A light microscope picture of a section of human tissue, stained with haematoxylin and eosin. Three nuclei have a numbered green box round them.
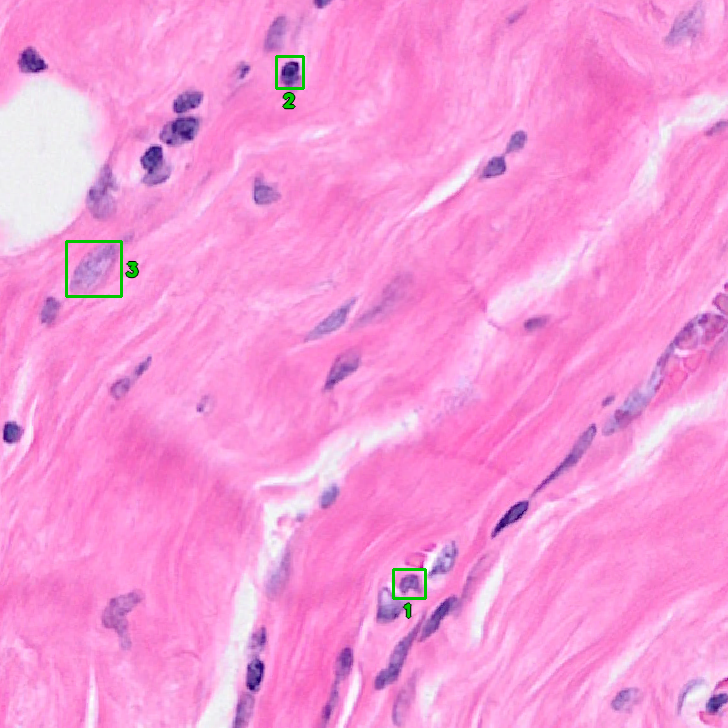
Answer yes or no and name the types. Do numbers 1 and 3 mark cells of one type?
No, unlike cell 3, which is a fibroblast, cell 1 is an endothelial cell.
